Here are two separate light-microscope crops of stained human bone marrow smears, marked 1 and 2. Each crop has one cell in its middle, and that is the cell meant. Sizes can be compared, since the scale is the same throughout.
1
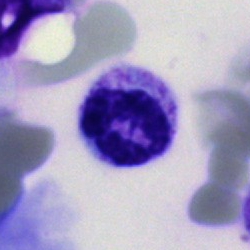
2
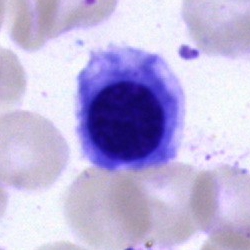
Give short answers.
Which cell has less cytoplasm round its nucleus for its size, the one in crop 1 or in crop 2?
1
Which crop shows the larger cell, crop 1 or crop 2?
2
